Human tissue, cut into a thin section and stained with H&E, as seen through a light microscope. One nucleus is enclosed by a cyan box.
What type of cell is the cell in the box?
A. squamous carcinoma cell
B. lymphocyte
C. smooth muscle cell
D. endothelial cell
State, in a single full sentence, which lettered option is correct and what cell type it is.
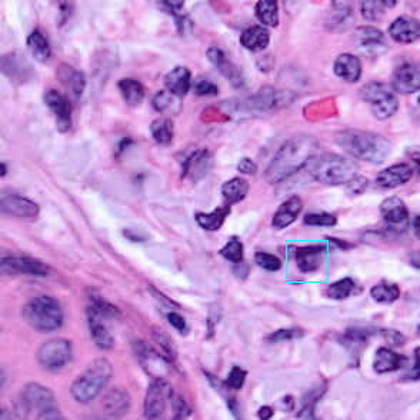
Option B is the one that fits, as the cell in the box is a lymphocyte.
